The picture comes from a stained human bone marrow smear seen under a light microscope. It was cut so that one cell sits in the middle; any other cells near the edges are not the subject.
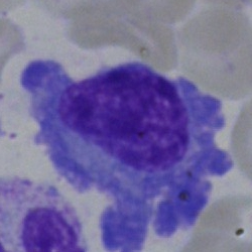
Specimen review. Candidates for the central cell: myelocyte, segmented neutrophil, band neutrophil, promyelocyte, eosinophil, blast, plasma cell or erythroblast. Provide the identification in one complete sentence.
The cell in the middle of this crop is a plasma cell.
